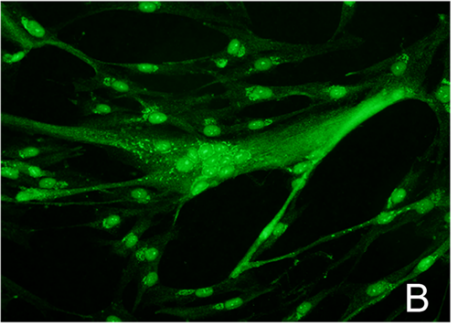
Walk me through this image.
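Some larger cells hold several nuclei grouped together in their widened middle part. Dark gaps free of cells lie between the elongated cells.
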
